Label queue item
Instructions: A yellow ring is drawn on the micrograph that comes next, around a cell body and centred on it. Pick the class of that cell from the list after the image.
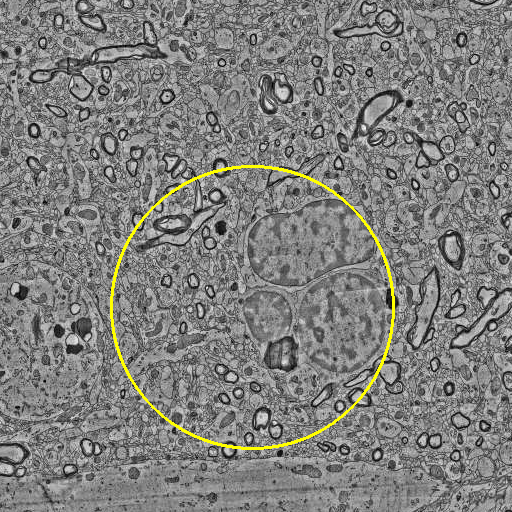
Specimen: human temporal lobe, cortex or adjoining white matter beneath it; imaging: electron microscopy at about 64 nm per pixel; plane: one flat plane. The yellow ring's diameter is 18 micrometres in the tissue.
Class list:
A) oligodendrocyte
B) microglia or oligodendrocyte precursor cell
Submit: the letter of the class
A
